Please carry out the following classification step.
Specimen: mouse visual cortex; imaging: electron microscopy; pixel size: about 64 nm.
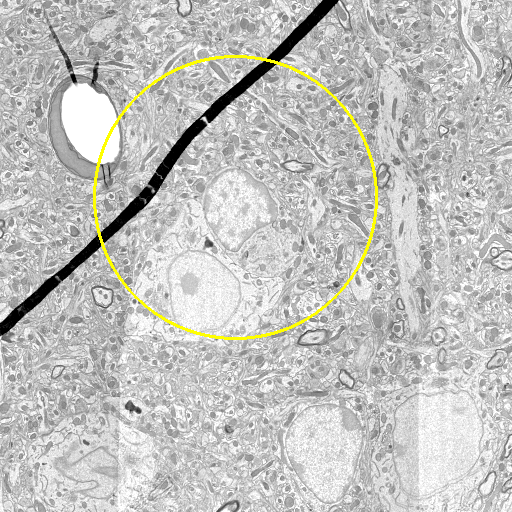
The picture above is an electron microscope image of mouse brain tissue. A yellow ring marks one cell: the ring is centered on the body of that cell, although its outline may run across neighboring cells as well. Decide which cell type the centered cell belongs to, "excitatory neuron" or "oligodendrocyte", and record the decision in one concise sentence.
The cell centered in the yellow ring is an oligodendrocyte.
